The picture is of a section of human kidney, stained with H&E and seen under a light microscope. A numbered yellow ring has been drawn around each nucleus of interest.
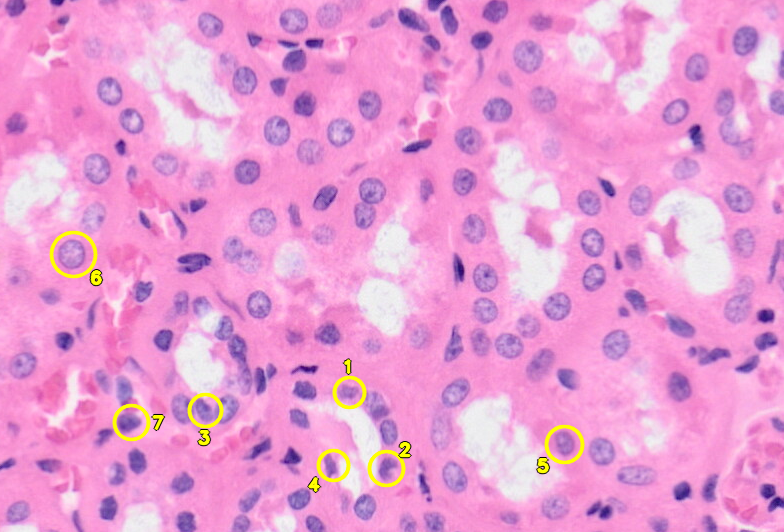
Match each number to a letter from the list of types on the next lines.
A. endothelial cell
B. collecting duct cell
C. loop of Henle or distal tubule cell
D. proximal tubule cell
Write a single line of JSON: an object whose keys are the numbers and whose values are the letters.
{"1": "C", "2": "C", "3": "B", "4": "C", "5": "D", "6": "D", "7": "A"}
